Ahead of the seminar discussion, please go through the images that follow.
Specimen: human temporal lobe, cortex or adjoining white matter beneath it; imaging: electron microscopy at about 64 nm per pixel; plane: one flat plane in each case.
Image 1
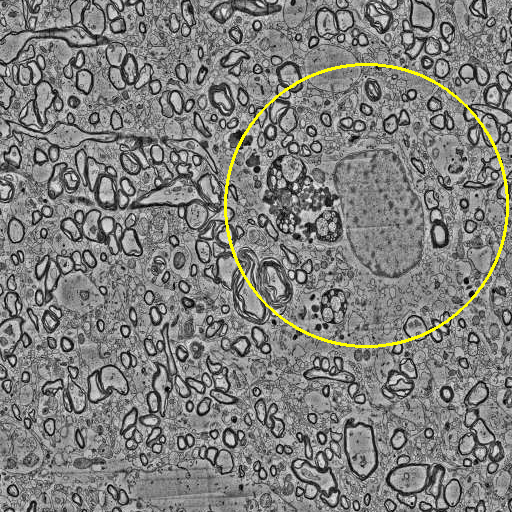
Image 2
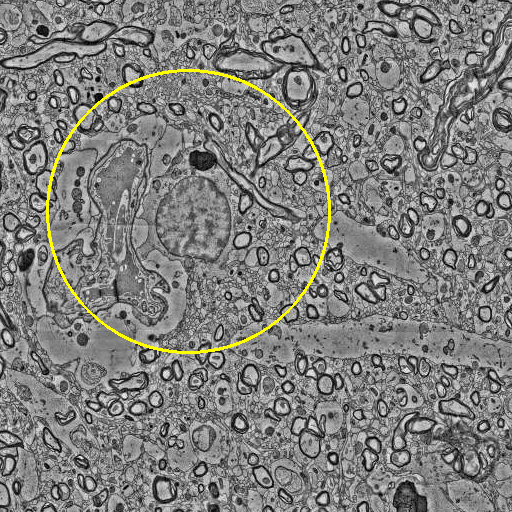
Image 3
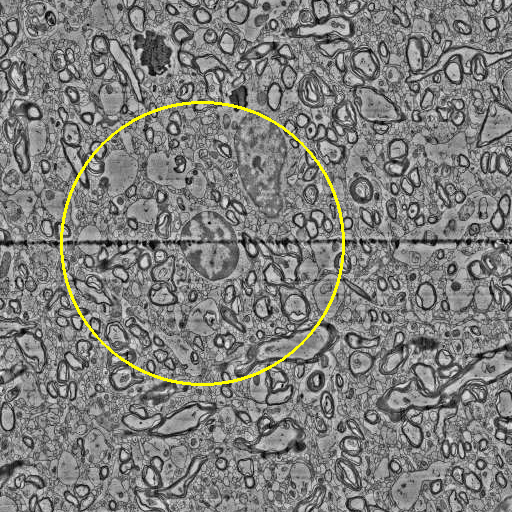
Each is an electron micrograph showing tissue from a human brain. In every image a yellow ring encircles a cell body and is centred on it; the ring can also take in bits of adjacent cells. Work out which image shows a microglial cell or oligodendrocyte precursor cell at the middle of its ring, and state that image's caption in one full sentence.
In Image 3, the ring's centre holds the cell you are looking for.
